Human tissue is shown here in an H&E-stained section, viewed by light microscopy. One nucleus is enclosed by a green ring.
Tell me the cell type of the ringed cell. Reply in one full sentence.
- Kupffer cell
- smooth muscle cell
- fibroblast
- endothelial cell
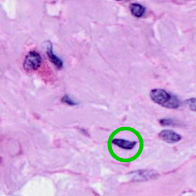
Within the stained tissue, the ringed cell is a fibroblast.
